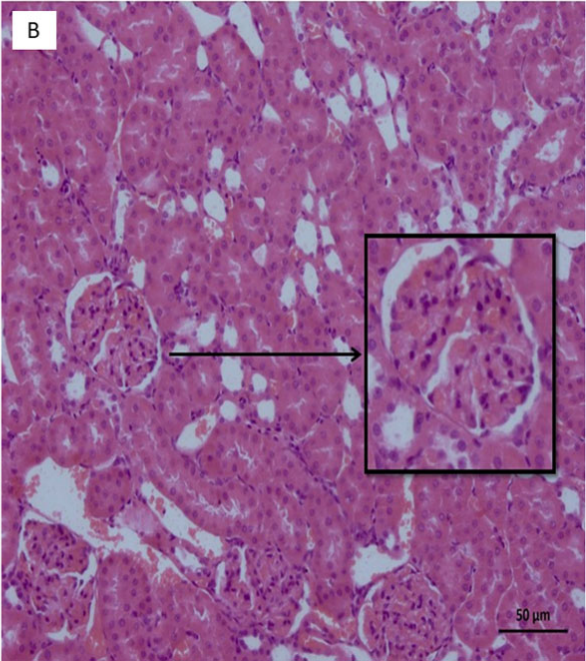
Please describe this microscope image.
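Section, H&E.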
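Tubules with pink cuboidal lining cells and open lumens surround several glomeruli, each a rounded tuft of capillaries and nuclei set in a clear space within a thin capsule. In the enlarged glomerulus a few red blood cells fill the capillary loops, a picture of minimal glomerular congestion.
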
